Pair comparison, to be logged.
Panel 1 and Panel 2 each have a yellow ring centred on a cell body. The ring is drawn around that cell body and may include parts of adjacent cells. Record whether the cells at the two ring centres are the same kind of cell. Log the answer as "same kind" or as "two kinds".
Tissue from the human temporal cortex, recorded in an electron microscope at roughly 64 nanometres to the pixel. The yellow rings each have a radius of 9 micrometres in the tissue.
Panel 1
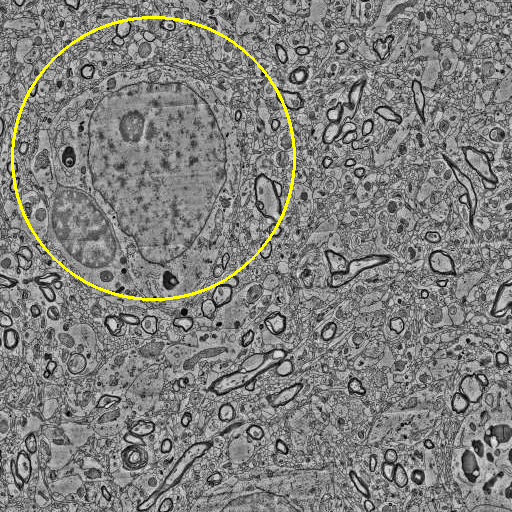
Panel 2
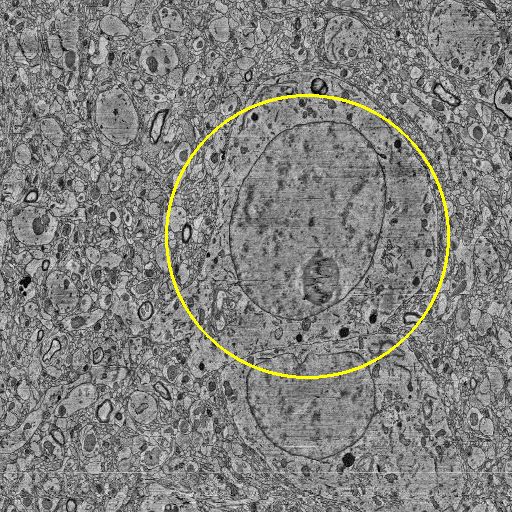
same kind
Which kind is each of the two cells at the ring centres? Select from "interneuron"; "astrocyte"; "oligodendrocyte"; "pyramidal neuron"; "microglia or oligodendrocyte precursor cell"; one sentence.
The second cell is a pyramidal neuron, just as the first is.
